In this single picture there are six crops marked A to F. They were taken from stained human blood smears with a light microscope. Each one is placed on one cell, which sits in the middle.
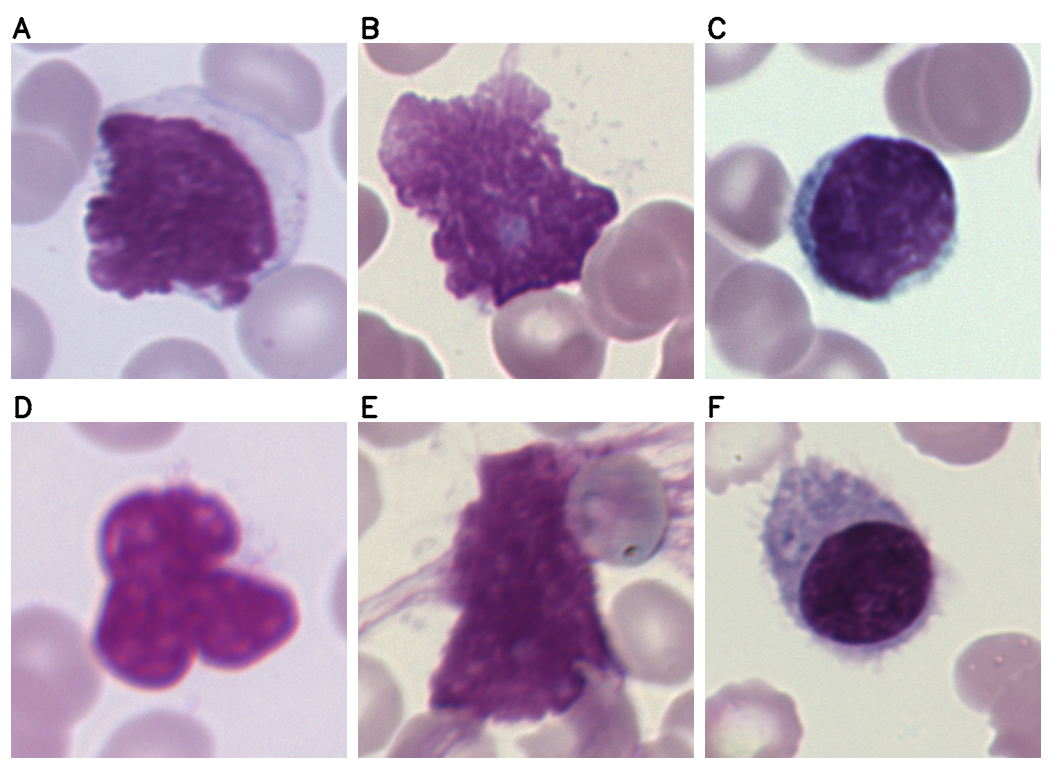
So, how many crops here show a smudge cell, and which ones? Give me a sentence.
Showing smudge cells are crops A, B, D and E, which amount to four.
